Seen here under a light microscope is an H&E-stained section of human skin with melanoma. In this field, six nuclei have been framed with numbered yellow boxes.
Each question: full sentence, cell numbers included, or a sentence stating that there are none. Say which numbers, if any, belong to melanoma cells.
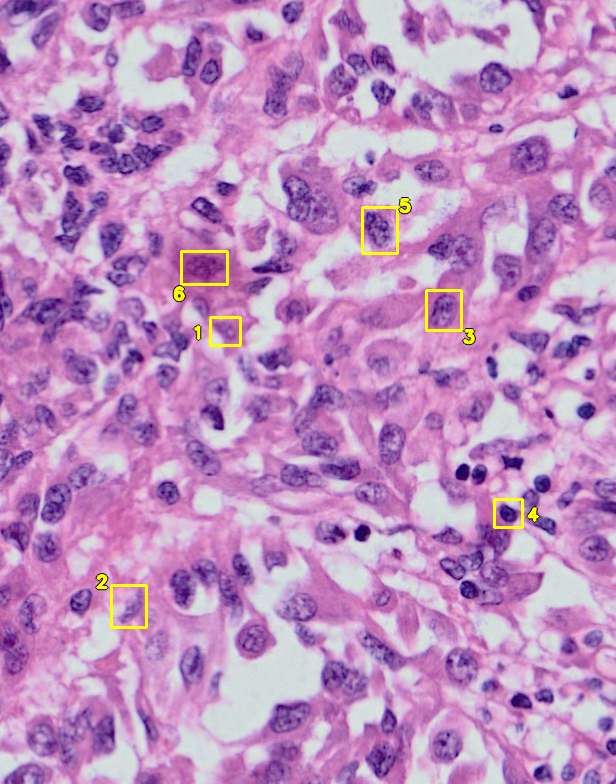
The cells whose numbers are 1, 3, 5 and 6 are melanoma cells.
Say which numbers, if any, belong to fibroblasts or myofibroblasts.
Only the cell marked 2 is a fibroblast or myofibroblast.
